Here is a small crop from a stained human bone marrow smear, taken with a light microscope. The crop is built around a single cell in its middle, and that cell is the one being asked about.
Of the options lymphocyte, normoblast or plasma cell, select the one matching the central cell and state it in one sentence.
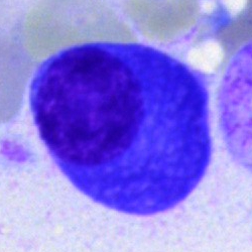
The single cell at the center of the crop is a plasma cell.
